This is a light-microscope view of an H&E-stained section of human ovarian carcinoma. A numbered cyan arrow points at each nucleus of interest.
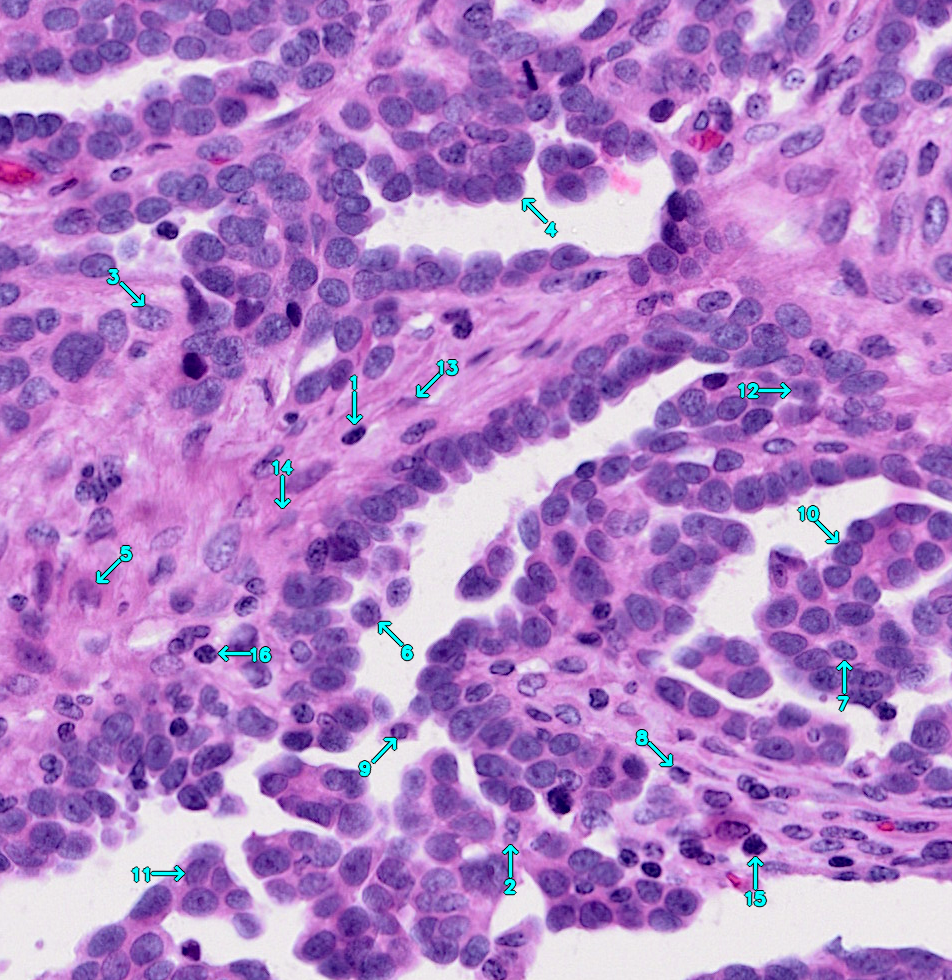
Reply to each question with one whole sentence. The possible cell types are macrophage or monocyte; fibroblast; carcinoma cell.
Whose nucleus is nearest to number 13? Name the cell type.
The nucleus nearest to number 13 is that of a macrophage or monocyte.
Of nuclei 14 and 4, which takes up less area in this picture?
Number 14 is smaller, since number 4 takes up about 2 times as much area.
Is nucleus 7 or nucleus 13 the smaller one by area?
Nucleus 13 is the smaller one; nucleus 7 covers about 1.5 times its area.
